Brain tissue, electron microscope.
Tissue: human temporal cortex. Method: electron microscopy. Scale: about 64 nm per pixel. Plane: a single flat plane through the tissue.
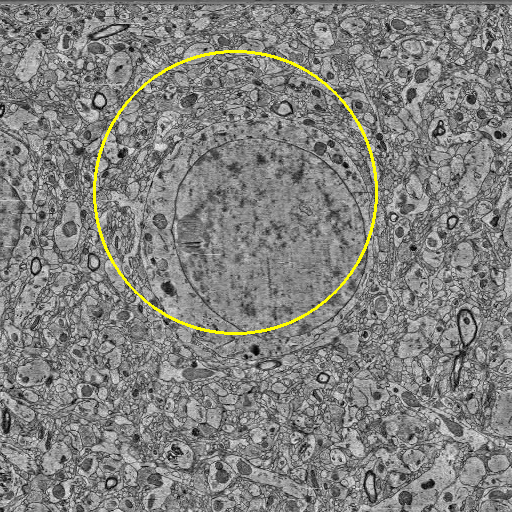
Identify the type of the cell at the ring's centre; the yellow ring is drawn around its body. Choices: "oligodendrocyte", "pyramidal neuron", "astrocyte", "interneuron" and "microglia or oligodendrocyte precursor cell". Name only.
pyramidal neuron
